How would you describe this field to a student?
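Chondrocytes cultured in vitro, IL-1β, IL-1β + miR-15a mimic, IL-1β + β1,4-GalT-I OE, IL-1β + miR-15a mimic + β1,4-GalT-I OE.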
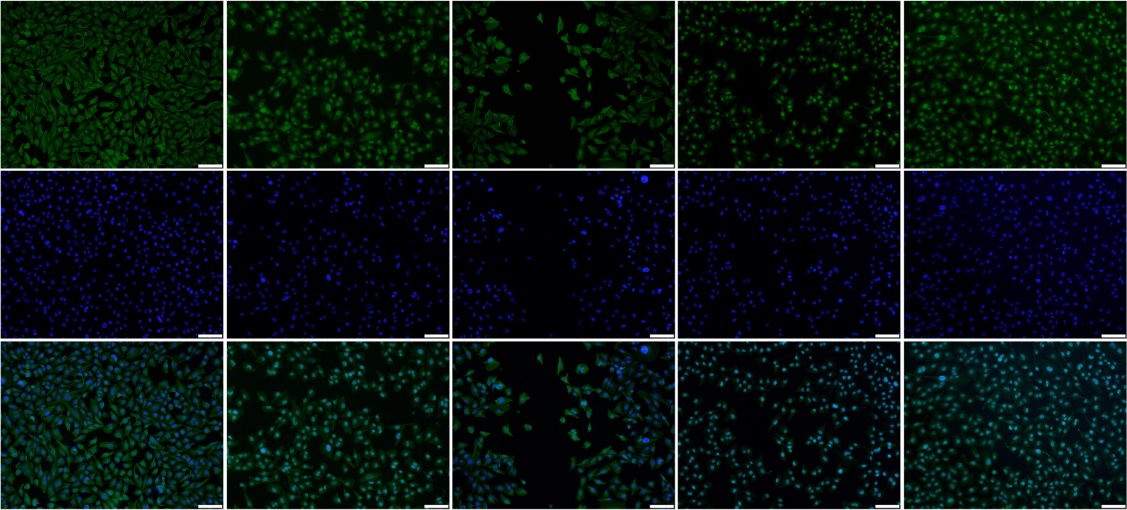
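In the leftmost column the cells are spread, polygonal to spindle-shaped, and the green fills their cytoplasm while the round nuclei stay comparatively dark. In the second, fourth and fifth columns the green gathers in the round nuclear areas, so the merged images look cyan at each nucleus with faint cytoplasm around it. The middle column looks more like the leftmost, with green-filled, elongated cell bodies, though the cells are sparser there.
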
